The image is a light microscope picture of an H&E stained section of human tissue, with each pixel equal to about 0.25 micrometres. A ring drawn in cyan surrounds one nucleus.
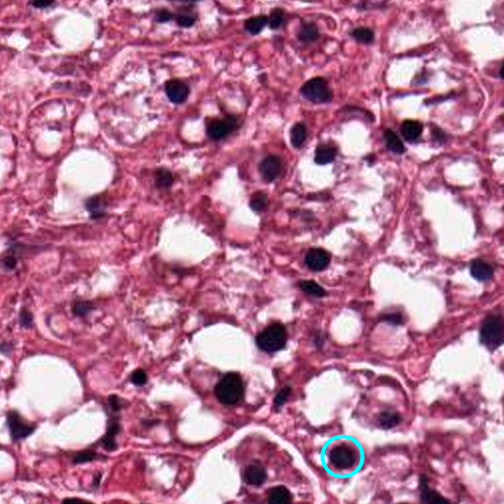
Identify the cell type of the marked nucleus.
adrenal cortical cell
